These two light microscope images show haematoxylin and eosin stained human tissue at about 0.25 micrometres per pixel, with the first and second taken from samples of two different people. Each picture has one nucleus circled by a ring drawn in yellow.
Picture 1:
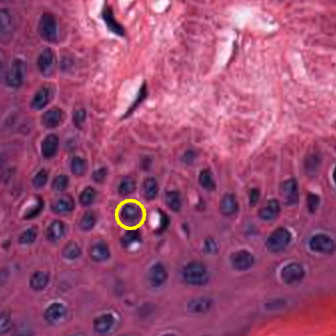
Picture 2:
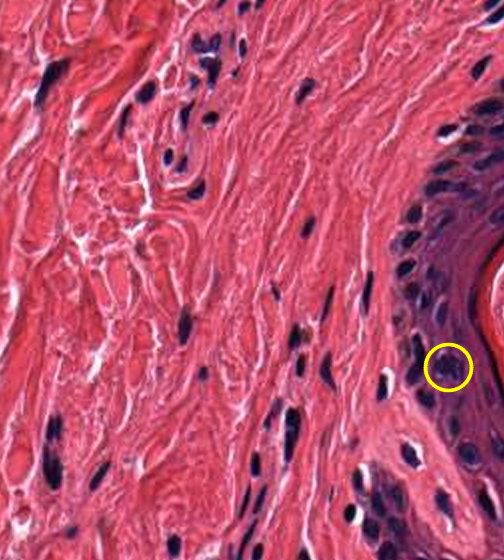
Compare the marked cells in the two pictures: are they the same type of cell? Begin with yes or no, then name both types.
Yes, both are keratinocytes.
